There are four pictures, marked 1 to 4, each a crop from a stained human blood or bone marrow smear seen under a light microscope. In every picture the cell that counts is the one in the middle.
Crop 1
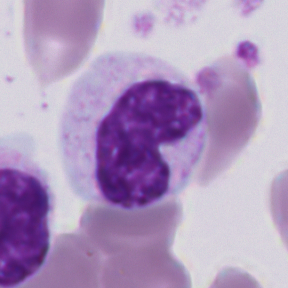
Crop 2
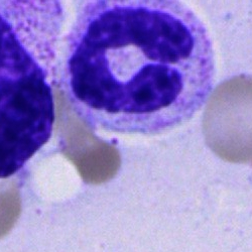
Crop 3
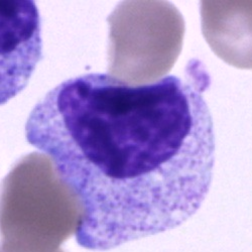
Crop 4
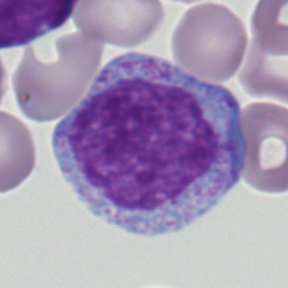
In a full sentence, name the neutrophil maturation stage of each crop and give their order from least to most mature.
Arranging the cells from least to most mature gives crop 4 (a promyelocyte), crop 3 (a myelocyte), crop 1 (a metamyelocyte) and crop 2 (a band neutrophil).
